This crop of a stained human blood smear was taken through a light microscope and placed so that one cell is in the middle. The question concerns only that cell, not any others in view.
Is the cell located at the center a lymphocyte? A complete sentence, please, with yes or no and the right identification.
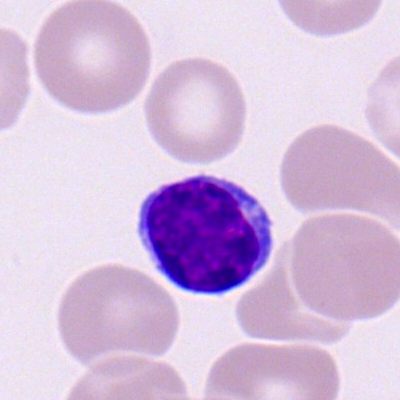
Yes, the middle cell of the field is a lymphocyte.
